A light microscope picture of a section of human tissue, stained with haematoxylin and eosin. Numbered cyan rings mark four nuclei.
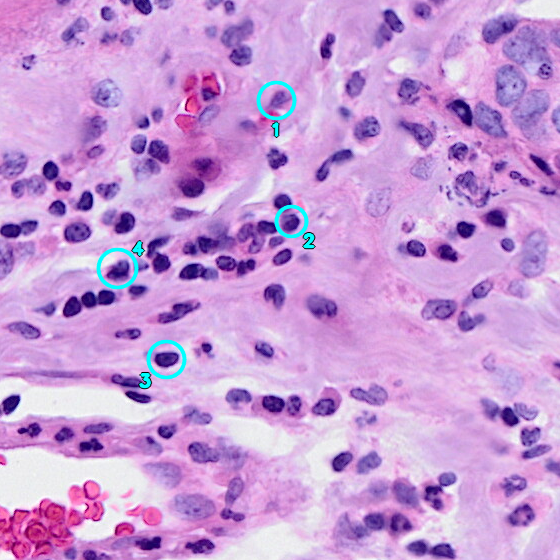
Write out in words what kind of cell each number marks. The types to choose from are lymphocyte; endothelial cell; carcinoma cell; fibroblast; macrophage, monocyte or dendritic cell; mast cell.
Cell 1 is an endothelial cell. Cells 2, 3 and 4 are lymphocytes.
